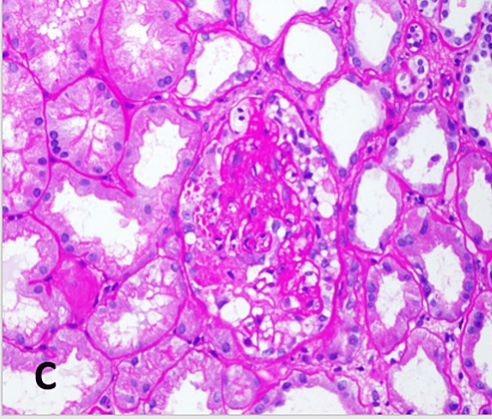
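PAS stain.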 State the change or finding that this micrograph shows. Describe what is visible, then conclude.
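The capillary loops are wrinkled and crowded together in the centre. Open capillary lumens are largely absent. The answer: global collapse of the glomerular capillaries.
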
